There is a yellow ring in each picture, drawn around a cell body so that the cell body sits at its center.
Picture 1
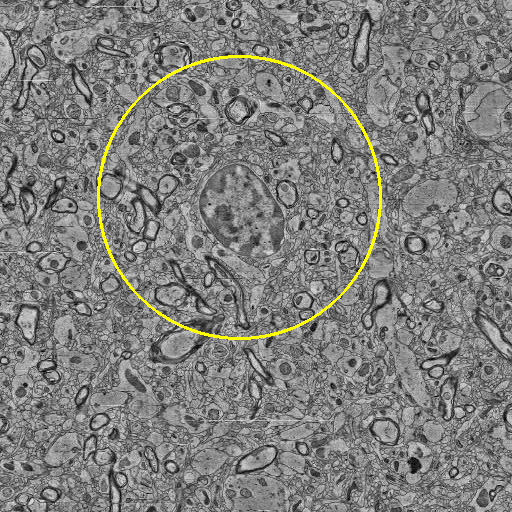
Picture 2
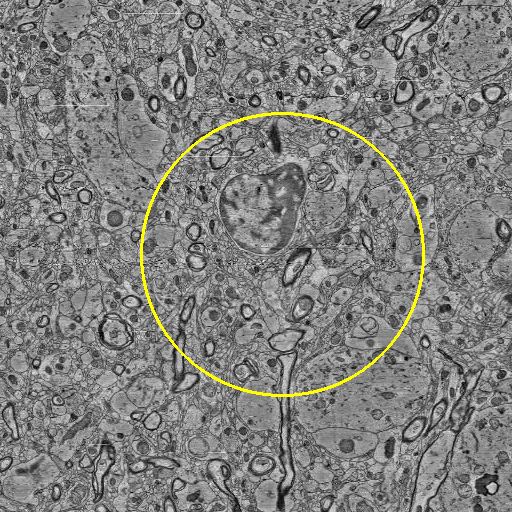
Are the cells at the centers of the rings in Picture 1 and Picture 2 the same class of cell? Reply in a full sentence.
Yes, the two cells are the same class of cell.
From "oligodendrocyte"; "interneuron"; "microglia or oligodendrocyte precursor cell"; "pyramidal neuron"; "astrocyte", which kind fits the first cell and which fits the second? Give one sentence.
In the first picture and in the second, the ring is centred on a microglial cell or oligodendrocyte precursor cell.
